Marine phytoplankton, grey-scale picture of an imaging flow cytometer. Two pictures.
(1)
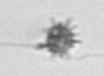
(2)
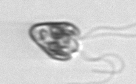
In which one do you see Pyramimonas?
In picture 2.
